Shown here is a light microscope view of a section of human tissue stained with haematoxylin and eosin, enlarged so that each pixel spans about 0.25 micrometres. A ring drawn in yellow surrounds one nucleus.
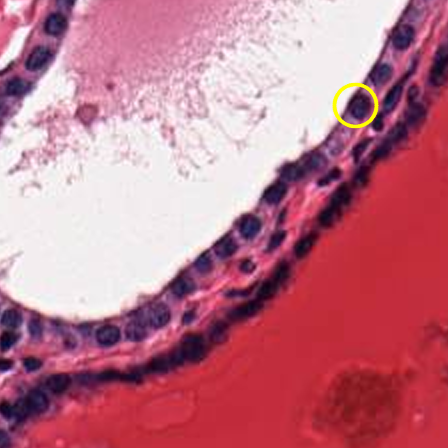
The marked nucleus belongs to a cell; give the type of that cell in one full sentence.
The marked nucleus is located in a thyroid follicular cell.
